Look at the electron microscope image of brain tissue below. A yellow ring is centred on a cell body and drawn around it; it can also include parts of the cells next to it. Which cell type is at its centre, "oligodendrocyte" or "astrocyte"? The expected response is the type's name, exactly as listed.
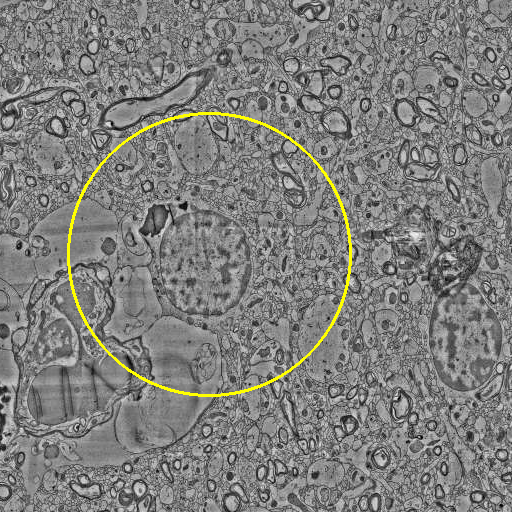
oligodendrocyte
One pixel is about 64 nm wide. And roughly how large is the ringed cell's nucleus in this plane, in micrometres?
The nucleus is approximately 7 micrometers long by 6 micrometers wide in this plane.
